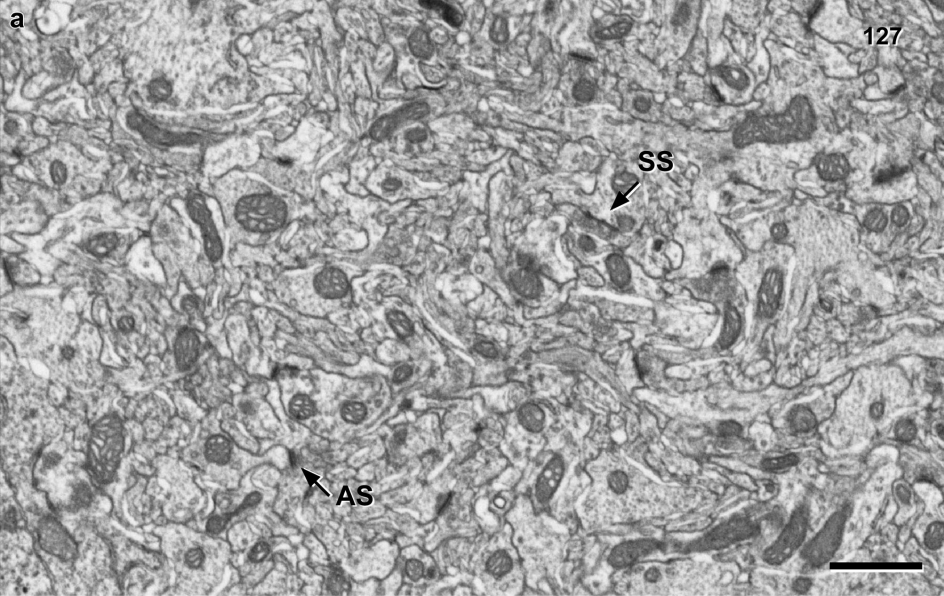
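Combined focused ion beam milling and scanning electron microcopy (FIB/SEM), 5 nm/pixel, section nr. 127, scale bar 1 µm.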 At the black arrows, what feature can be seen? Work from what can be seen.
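Synapses. Each arrow points at a short dark thickened stretch of membrane between two neuronal profiles.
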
